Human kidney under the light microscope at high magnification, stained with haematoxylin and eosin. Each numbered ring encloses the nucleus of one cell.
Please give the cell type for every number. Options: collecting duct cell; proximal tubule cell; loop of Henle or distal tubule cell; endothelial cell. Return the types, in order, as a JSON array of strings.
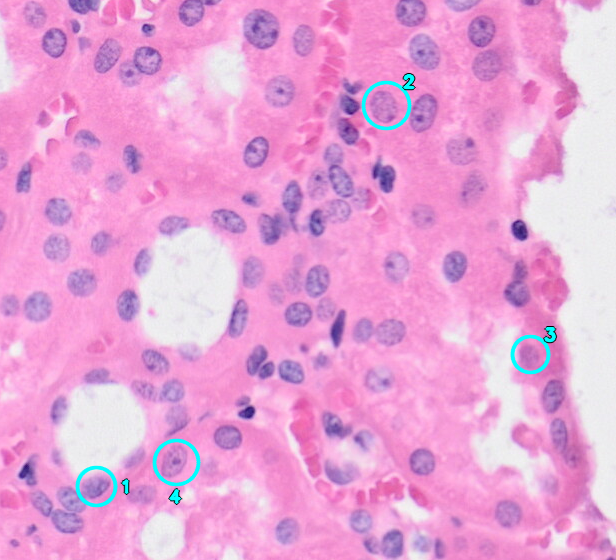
["collecting duct cell", "proximal tubule cell", "proximal tubule cell", "proximal tubule cell"]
